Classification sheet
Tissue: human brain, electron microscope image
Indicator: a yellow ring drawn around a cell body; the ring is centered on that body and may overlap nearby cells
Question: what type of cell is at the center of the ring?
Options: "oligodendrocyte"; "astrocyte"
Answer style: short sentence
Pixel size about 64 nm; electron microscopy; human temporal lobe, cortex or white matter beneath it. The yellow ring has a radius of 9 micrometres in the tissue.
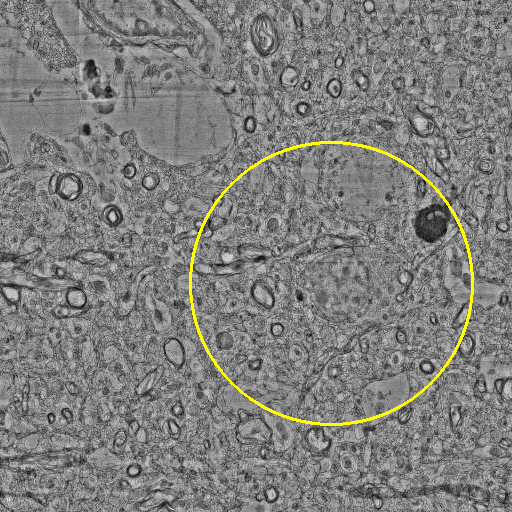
At the ring's center is an oligodendrocyte.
